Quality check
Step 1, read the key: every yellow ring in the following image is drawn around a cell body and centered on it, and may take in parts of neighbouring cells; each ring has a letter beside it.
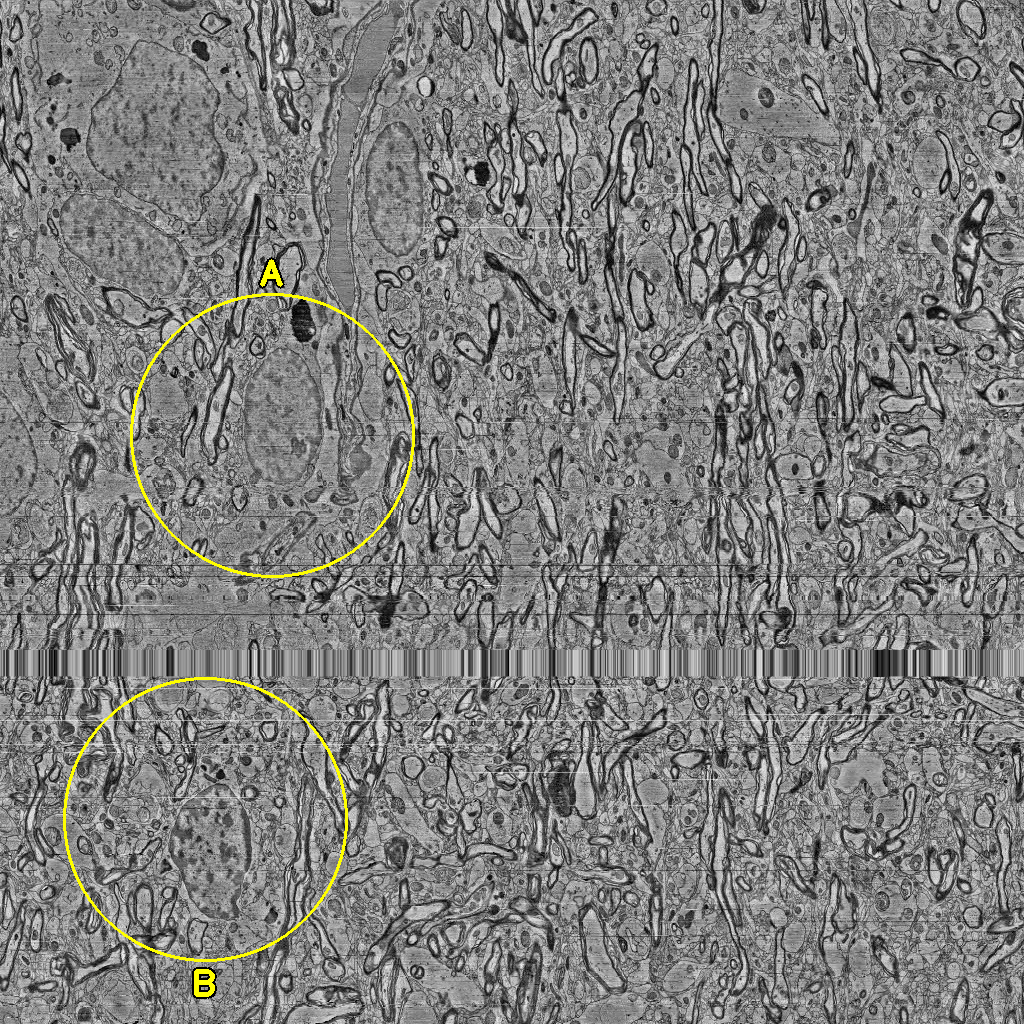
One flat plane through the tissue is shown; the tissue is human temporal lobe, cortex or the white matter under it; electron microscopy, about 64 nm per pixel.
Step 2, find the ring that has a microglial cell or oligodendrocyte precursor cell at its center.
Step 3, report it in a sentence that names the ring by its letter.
Ring B is centered on that cell.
